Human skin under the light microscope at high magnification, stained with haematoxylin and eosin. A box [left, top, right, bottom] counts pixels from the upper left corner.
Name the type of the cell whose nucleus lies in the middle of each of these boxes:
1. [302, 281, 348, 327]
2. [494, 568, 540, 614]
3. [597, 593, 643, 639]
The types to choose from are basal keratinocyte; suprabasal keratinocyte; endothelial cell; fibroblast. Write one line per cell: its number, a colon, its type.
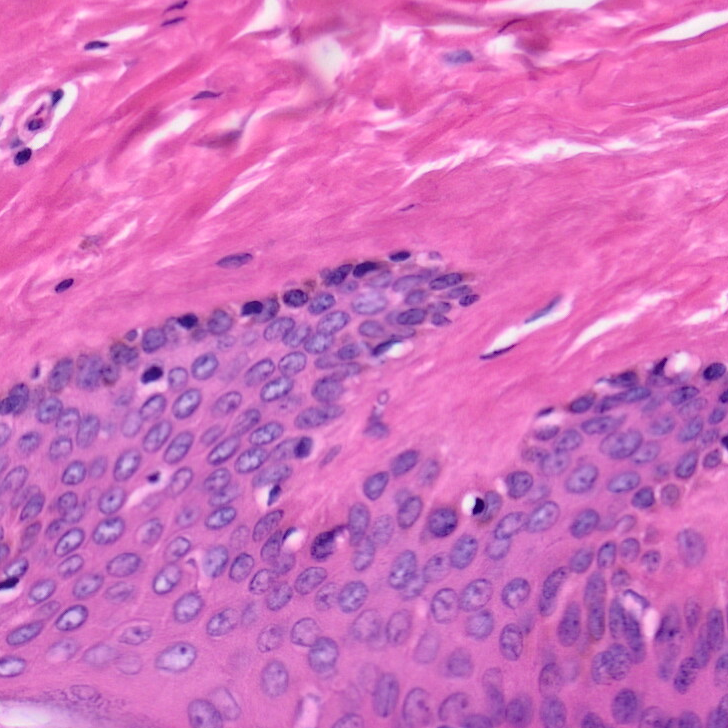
1: basal keratinocyte
2: suprabasal keratinocyte
3: basal keratinocyte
